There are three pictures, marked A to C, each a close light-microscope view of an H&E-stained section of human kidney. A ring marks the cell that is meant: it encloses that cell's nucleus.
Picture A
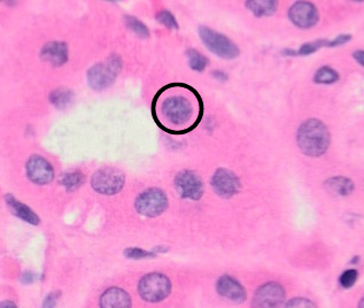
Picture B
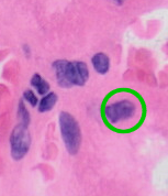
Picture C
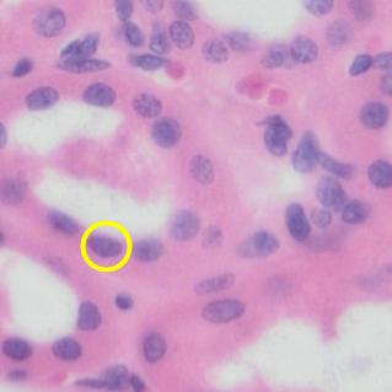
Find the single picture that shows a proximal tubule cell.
B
